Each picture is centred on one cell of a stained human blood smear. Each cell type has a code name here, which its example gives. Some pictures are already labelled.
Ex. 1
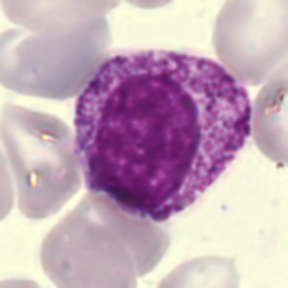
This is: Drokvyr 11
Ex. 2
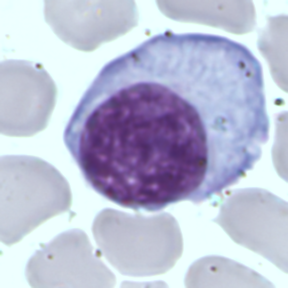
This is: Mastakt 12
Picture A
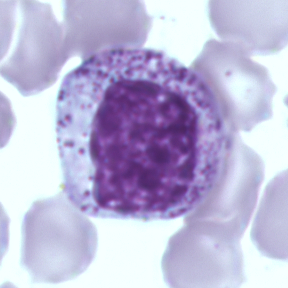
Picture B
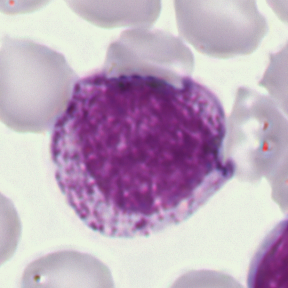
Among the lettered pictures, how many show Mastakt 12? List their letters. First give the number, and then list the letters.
0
